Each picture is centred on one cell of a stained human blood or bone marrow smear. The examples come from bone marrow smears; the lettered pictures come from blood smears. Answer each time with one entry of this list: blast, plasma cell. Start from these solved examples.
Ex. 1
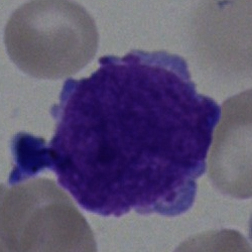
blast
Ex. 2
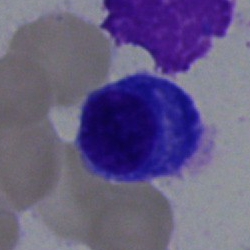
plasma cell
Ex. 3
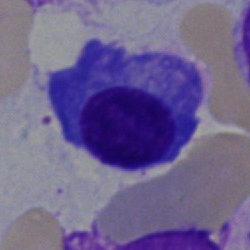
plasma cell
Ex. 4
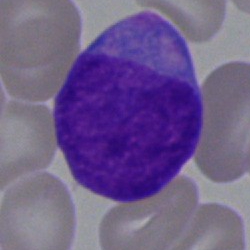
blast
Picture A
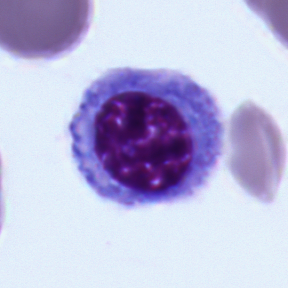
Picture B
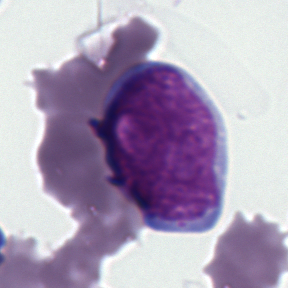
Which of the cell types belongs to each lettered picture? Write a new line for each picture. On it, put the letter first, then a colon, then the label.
A: plasma cell
B: blast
